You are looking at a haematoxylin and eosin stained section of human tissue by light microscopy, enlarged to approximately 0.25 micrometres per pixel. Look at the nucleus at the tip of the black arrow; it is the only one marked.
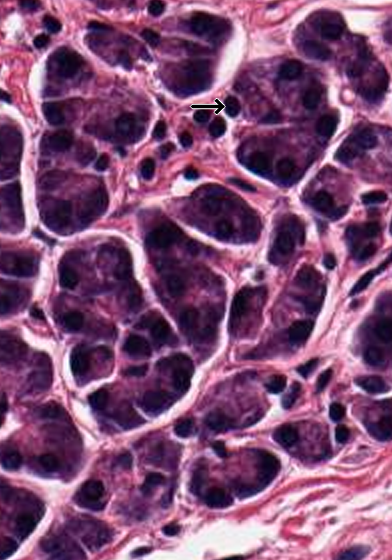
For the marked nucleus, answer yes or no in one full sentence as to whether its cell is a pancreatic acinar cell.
No, the marked nucleus belongs to a supporting cell, and a pancreatic acinar cell is not its owner.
